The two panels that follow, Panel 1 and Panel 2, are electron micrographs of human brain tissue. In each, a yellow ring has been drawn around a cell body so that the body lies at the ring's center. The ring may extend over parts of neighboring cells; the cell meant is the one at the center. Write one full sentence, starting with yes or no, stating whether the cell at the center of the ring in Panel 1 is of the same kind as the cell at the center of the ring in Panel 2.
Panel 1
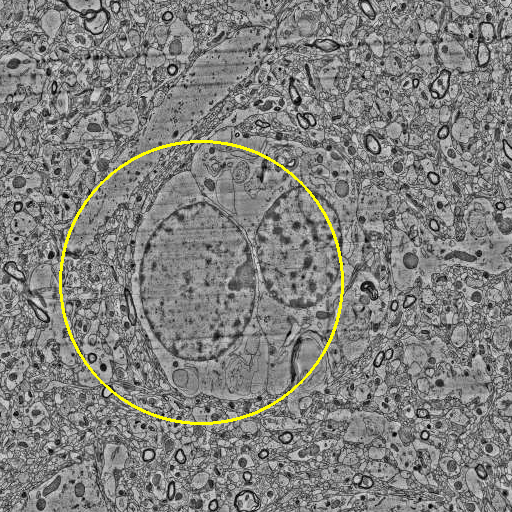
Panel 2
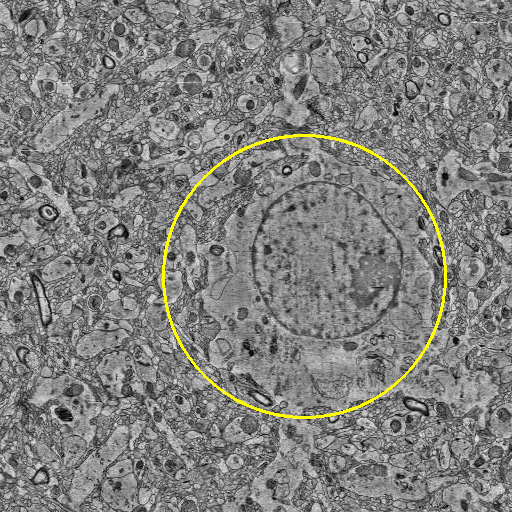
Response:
Yes, the cells in both panels are of the same kind.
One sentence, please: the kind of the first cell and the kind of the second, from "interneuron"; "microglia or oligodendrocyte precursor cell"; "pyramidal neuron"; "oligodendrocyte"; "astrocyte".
Each of the ringed cells, first and second, is an astrocyte.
